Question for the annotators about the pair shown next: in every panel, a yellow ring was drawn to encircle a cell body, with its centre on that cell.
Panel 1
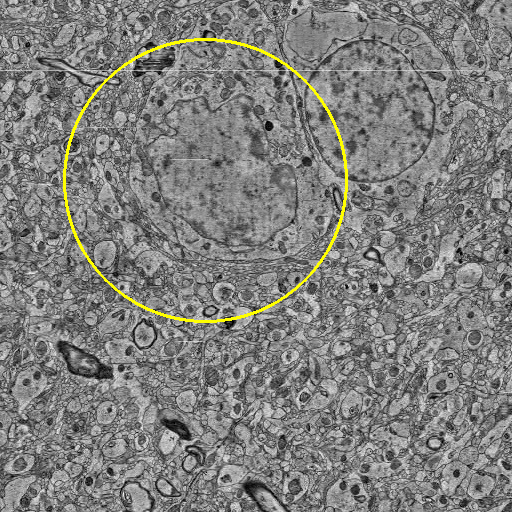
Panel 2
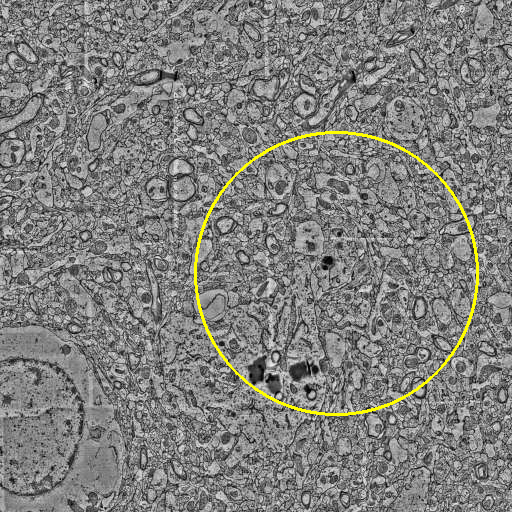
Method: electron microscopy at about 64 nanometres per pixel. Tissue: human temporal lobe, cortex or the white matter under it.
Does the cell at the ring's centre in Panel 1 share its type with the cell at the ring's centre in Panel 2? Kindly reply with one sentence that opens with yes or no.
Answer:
No, in Panels 1 and 2 the cells at the ring centres belong to separate types.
